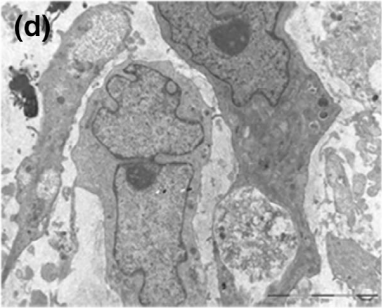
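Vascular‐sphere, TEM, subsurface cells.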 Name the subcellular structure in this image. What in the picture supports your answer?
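Large euchromatic nuclei with nucleoli. Cells contain large, pale, finely textured nuclei.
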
